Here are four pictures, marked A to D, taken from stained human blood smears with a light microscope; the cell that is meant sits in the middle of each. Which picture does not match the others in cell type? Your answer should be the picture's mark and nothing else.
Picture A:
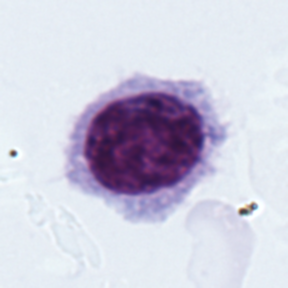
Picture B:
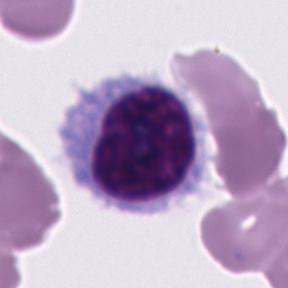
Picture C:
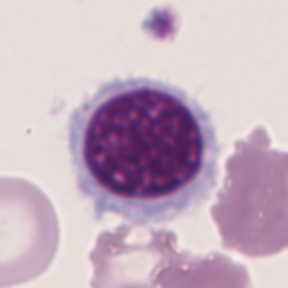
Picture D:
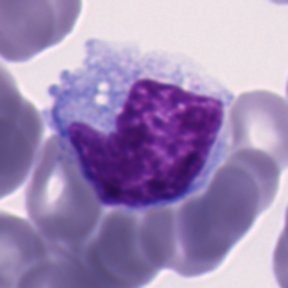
D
